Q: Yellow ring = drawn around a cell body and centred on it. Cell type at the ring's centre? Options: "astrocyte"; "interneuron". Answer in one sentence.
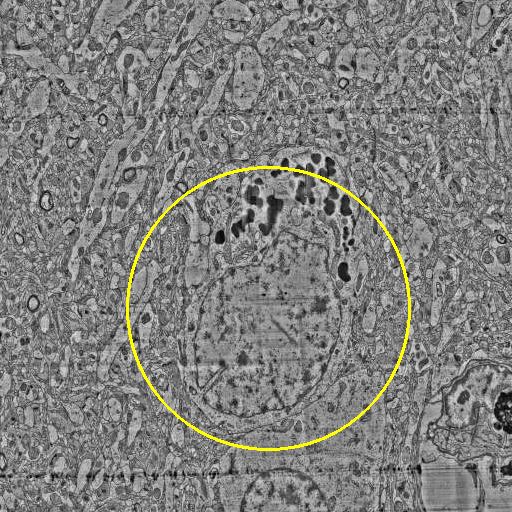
Centred in the ring is an interneuron.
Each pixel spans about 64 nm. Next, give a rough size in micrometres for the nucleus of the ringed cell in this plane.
In this plane, approximately 12 by 9 micrometers.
